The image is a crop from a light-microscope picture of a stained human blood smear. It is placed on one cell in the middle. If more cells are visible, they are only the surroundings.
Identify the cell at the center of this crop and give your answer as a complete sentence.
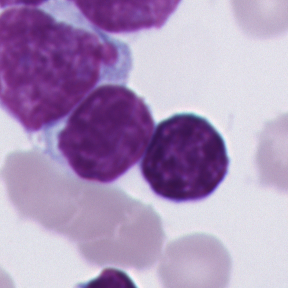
The cell at the central position in this crop is a myeloblast.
